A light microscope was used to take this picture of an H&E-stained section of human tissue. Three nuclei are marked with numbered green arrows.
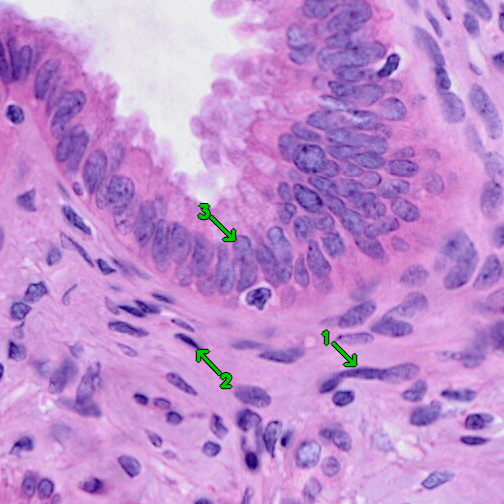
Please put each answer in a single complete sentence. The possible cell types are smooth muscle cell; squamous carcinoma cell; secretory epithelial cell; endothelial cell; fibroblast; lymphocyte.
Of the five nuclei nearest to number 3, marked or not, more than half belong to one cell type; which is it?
Around number 3, most of the five nearest nuclei are those of secretory epithelial cells.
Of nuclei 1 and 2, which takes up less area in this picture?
With nucleus 1 about 2.5 times its size, nucleus 2 is the smaller of the two.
